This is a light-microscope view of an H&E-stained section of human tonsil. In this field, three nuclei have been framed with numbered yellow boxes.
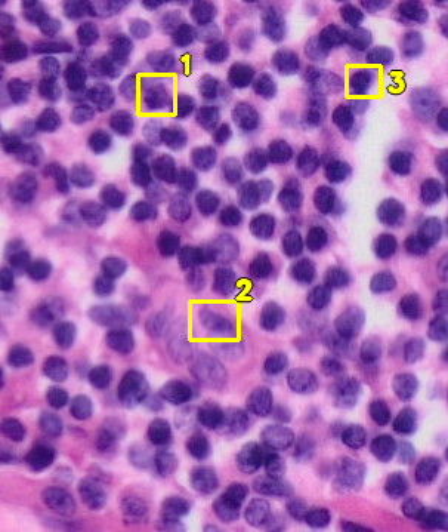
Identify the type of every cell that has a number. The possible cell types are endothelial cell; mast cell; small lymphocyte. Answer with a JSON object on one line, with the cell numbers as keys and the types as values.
{"1": "small lymphocyte", "2": "endothelial cell", "3": "small lymphocyte"}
